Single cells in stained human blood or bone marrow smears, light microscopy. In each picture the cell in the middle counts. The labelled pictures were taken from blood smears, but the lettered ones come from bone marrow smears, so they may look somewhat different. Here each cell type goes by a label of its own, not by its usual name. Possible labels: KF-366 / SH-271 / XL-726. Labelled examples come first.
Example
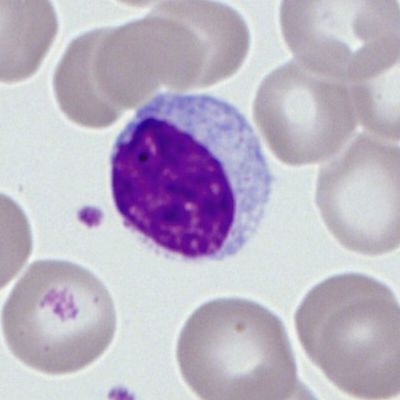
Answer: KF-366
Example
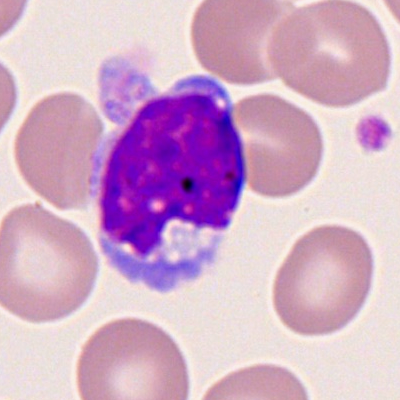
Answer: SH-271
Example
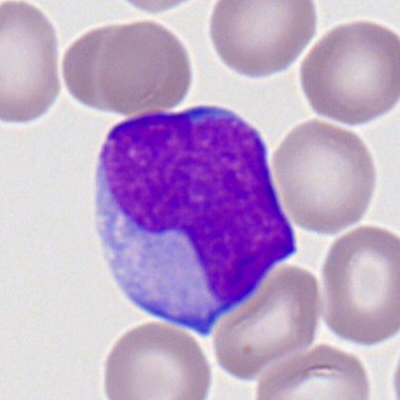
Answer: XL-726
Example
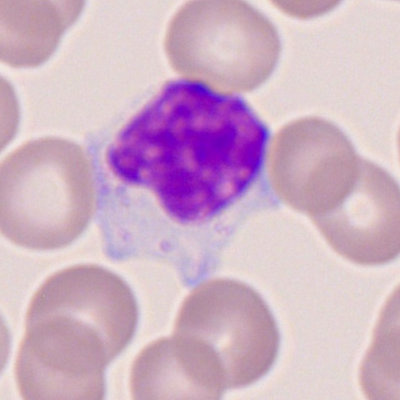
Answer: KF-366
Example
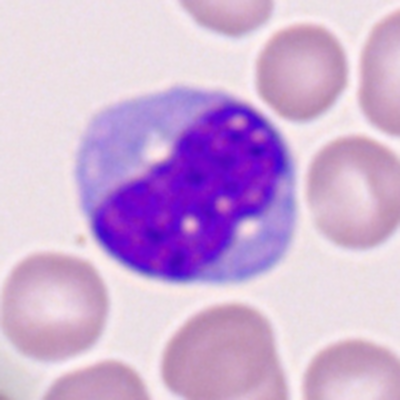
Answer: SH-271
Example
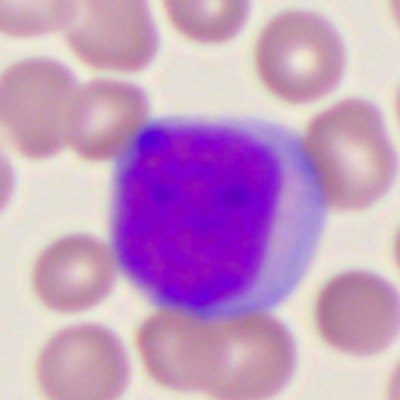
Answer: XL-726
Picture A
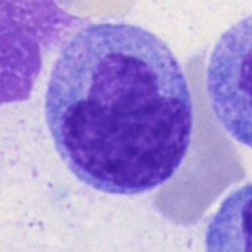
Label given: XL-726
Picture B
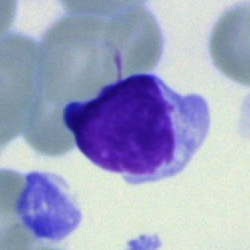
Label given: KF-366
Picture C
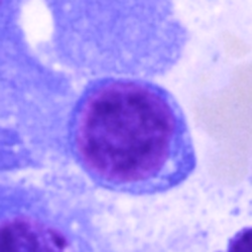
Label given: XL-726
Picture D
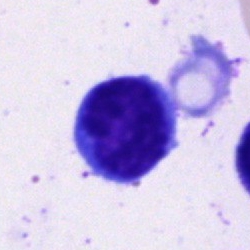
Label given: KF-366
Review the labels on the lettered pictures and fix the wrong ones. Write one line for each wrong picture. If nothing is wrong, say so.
A: change XL-726 to SH-271
C: change XL-726 to KF-366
